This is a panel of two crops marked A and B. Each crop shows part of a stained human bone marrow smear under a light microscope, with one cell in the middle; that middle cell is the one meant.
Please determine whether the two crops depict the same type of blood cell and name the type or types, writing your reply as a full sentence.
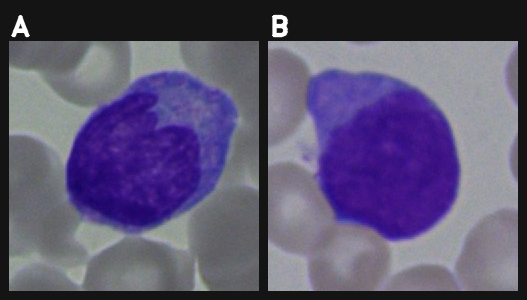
No, crop A shows a monocyte and crop B shows a blast.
